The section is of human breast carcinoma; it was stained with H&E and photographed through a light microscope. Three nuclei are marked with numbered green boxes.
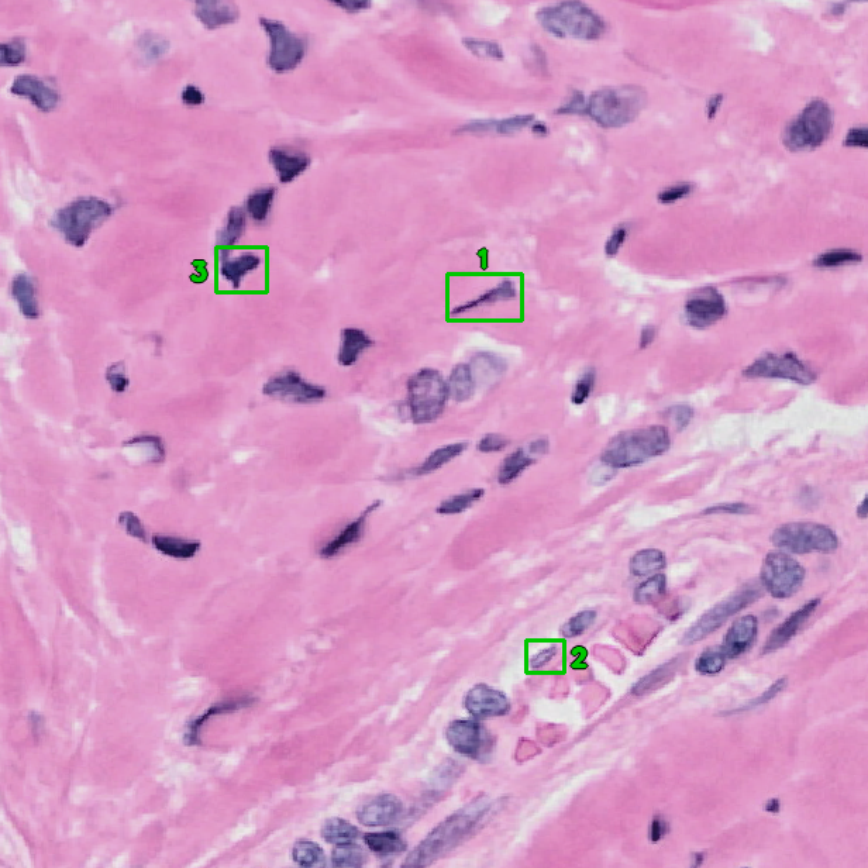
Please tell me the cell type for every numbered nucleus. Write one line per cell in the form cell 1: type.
cell 1: fibroblast
cell 2: endothelial cell
cell 3: lymphocyte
